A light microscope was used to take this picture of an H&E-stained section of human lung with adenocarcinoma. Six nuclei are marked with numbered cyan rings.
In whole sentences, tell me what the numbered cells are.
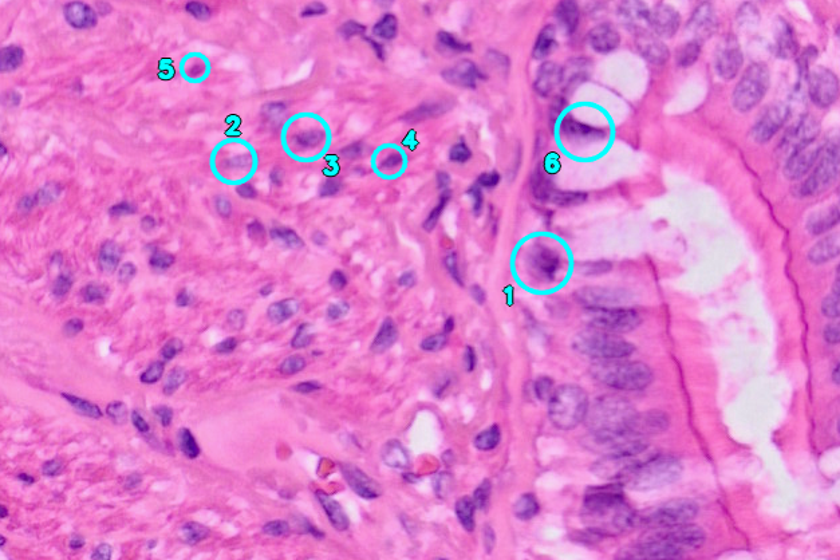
Cell 1 is a ciliated epithelial cell, cell 2 is a smooth muscle cell or pericyte, cell 3 is a smooth muscle cell or pericyte, cell 4 is a smooth muscle cell or pericyte, cell 5 is a smooth muscle cell or pericyte and cell 6 is a ciliated epithelial cell.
